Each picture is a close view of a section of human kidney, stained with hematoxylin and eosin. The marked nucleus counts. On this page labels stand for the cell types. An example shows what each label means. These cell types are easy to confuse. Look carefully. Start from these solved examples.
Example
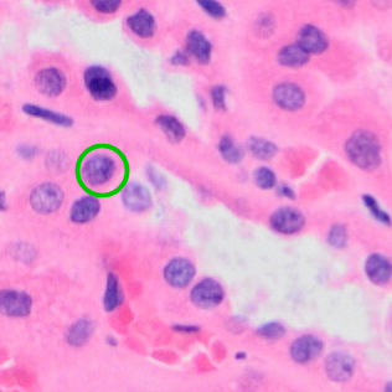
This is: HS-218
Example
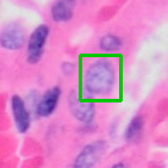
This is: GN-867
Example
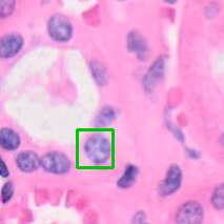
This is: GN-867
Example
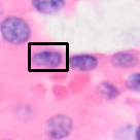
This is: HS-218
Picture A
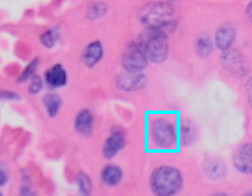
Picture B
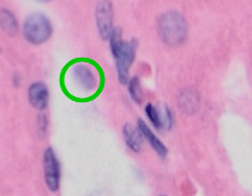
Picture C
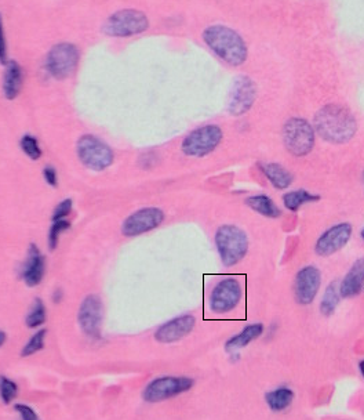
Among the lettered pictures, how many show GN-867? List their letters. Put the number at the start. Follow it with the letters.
Count: 1 (A)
